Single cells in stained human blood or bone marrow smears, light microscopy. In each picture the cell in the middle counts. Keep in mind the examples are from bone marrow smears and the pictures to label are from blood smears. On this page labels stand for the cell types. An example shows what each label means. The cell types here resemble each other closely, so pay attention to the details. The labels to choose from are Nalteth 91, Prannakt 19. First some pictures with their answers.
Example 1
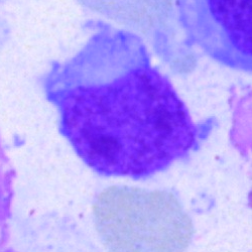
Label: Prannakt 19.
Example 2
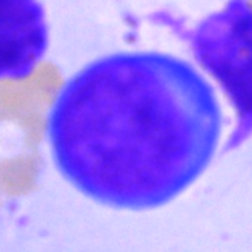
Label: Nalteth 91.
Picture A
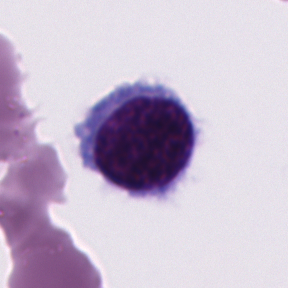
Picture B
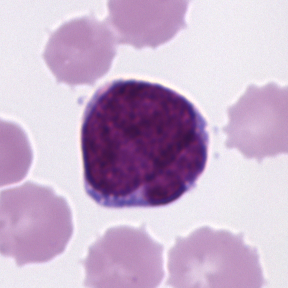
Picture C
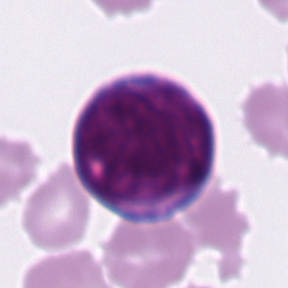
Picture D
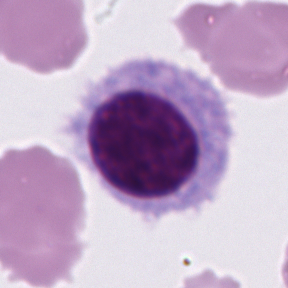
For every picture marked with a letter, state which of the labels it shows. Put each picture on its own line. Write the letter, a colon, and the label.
A: Prannakt 19.
B: Nalteth 91.
C: Nalteth 91.
D: Prannakt 19.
